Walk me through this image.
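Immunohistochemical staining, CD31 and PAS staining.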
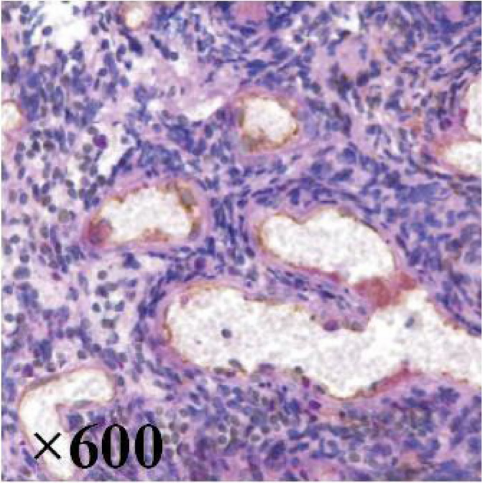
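Densely cellular tissue traversed by several irregular, dilated vascular channels. The channels are lined by thin flattened cells with a brownish rim along the luminal border and patches of pink-magenta material at their edges. The lumens hold pale, finely granular material. Around the channels lie closely packed small cells with dark blue oval to spindle-shaped nuclei and scant cytoplasm.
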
